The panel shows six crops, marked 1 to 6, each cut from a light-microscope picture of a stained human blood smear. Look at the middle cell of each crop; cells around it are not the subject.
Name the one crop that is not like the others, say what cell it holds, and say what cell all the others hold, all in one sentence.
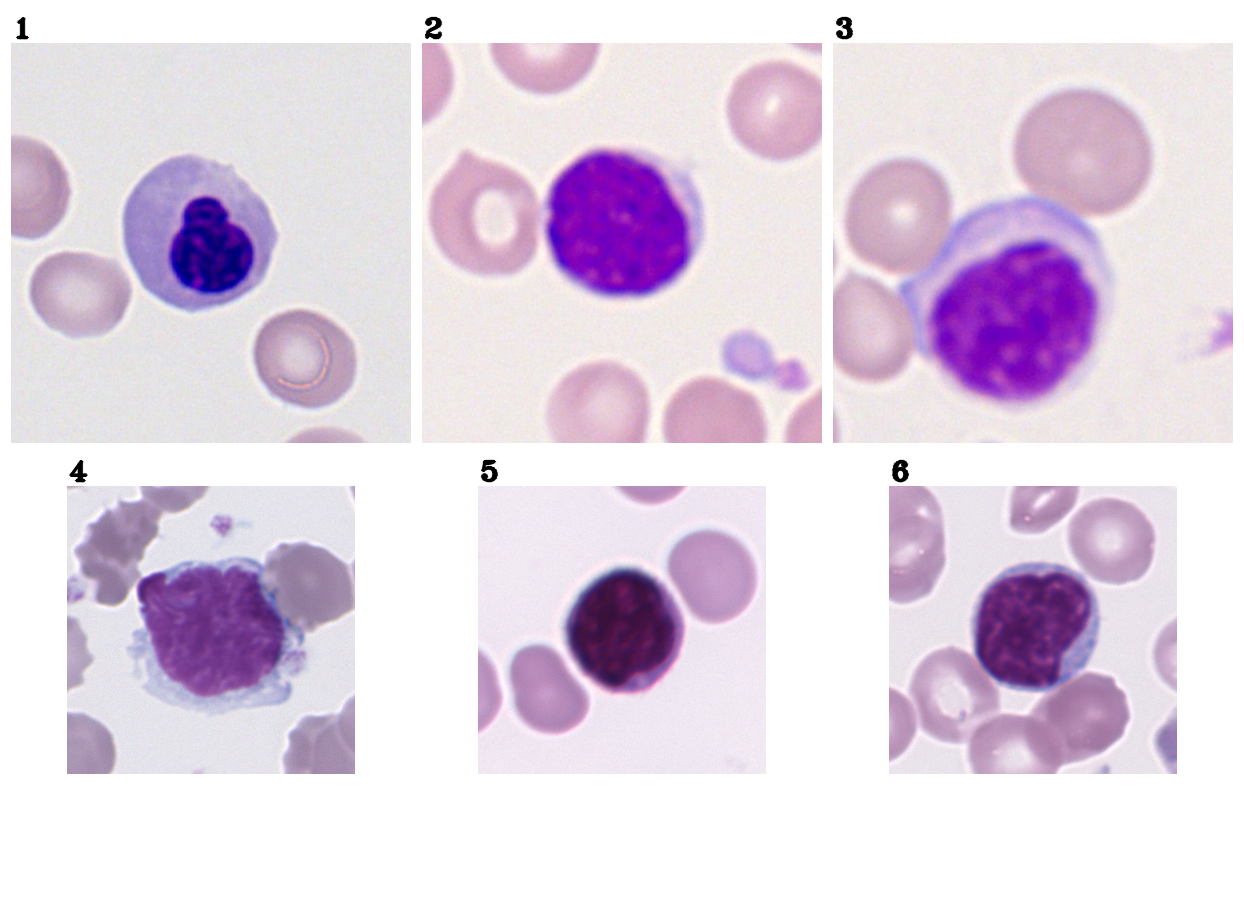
Of all the crops, only crop 1 shows an erythroblast; the others show lymphocytes.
